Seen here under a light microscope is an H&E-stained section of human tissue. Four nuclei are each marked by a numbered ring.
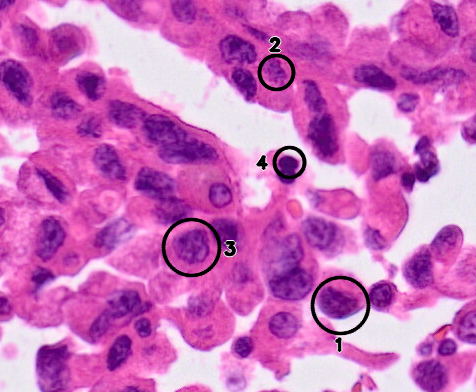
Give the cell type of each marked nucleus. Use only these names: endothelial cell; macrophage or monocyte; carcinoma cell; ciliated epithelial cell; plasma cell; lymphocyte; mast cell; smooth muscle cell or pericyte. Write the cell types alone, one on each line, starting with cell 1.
carcinoma cell
carcinoma cell
carcinoma cell
lymphocyte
